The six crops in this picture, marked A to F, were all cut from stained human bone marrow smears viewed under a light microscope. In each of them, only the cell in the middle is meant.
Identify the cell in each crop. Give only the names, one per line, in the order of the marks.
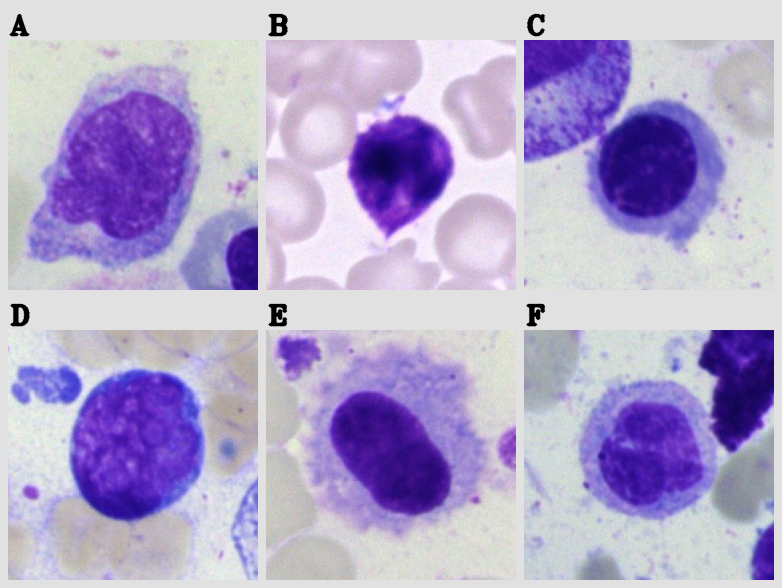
monocyte
basophil
normoblast
blast
hairy cell
monocyte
